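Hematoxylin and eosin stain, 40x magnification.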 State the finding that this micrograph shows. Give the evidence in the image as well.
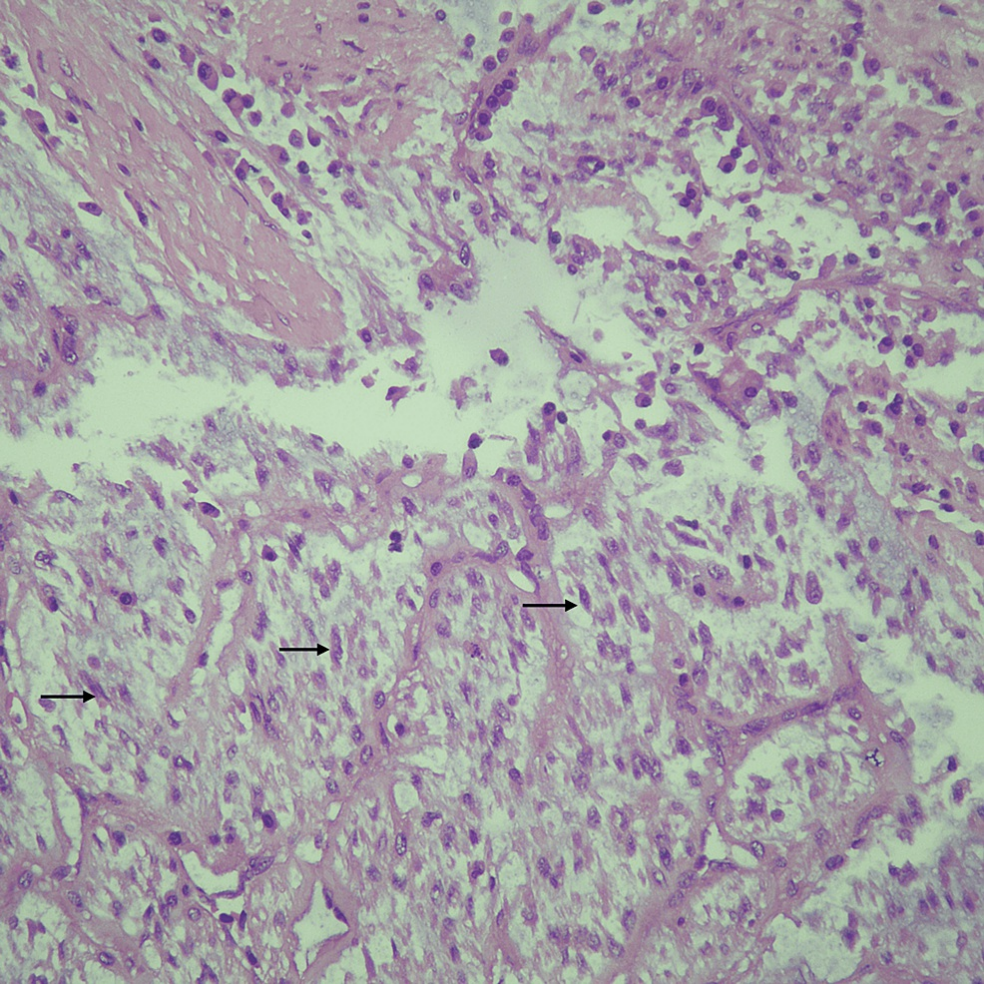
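Between the cells lies a pale, loose, wispy, faintly bluish-grey ground substance. The answer: myxoid background.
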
